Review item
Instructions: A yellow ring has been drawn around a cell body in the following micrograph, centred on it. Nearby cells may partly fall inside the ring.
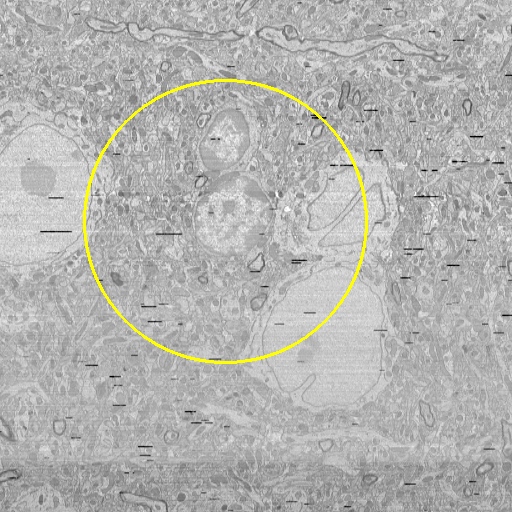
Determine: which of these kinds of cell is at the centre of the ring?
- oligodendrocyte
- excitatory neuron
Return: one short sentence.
The cell body in the middle of the ring is that of an oligodendrocyte.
